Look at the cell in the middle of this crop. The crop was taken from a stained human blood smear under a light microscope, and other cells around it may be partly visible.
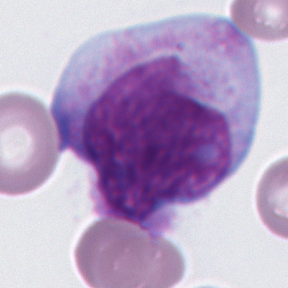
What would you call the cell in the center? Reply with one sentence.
In the middle of this smear crop is an atypical promyelocyte.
